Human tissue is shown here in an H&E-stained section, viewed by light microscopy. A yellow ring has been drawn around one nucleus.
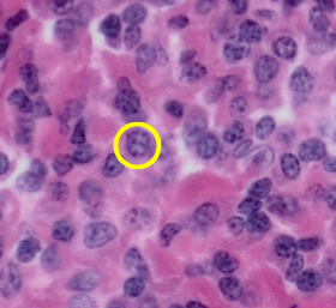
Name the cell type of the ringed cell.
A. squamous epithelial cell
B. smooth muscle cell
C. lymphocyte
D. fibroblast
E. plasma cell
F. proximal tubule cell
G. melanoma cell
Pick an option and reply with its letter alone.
E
